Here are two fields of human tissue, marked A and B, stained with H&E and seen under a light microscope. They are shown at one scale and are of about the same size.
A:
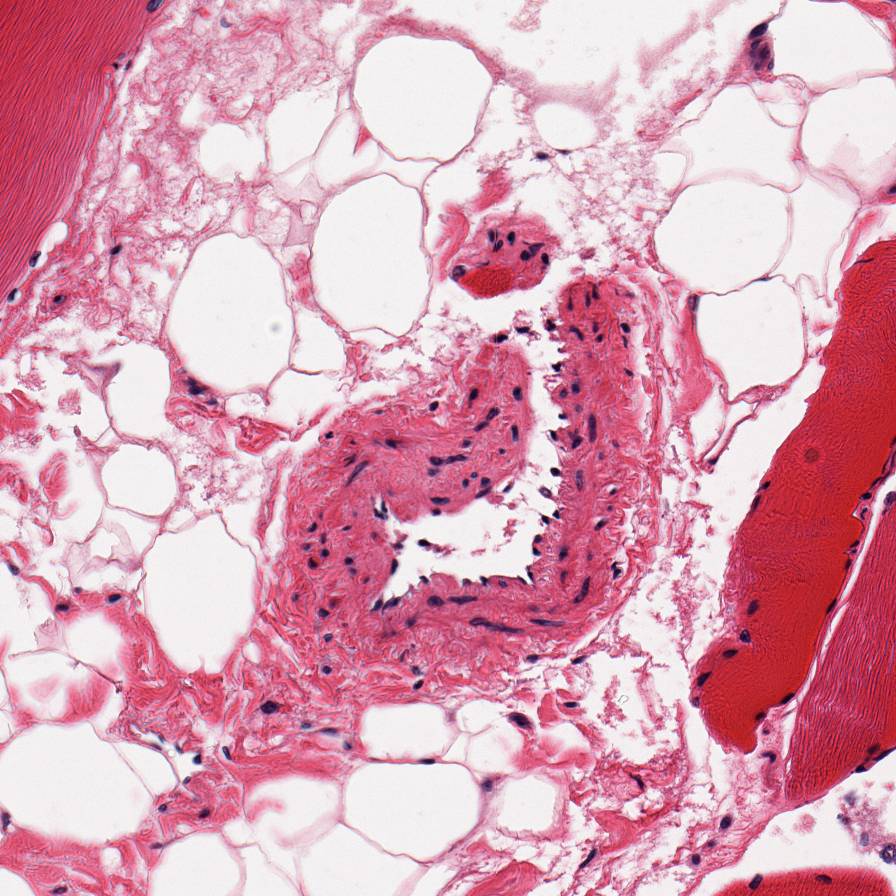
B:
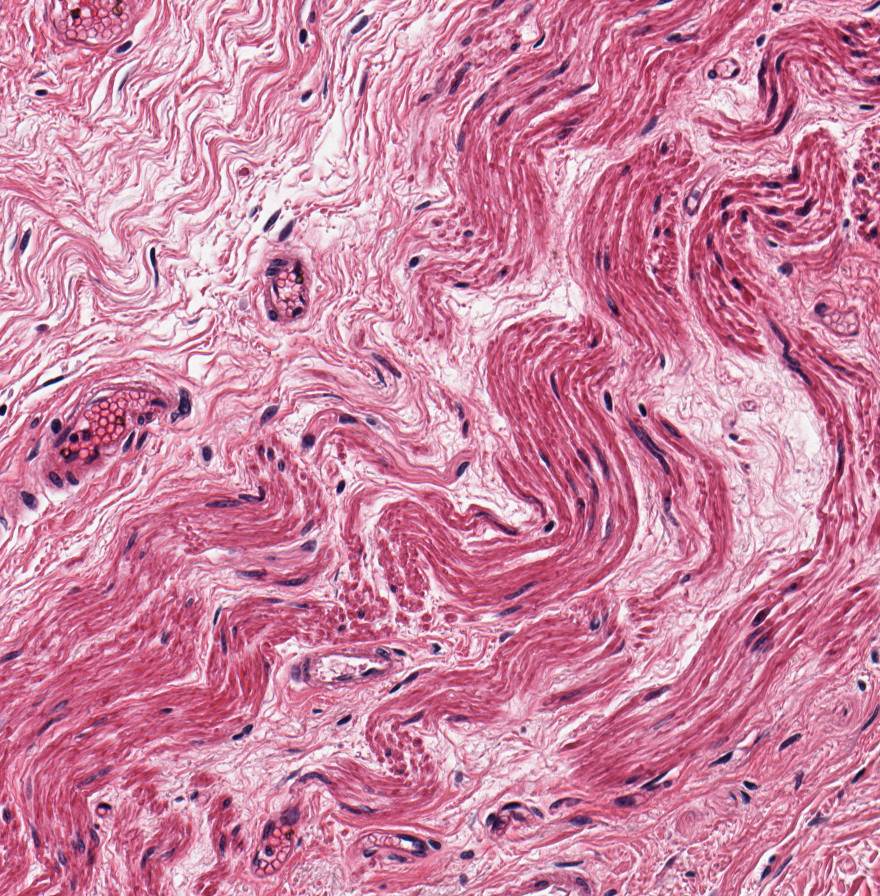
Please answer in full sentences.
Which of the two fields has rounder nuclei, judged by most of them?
Rounder nuclei lie in field A.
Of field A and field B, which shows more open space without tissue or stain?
More of field A is empty and white.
